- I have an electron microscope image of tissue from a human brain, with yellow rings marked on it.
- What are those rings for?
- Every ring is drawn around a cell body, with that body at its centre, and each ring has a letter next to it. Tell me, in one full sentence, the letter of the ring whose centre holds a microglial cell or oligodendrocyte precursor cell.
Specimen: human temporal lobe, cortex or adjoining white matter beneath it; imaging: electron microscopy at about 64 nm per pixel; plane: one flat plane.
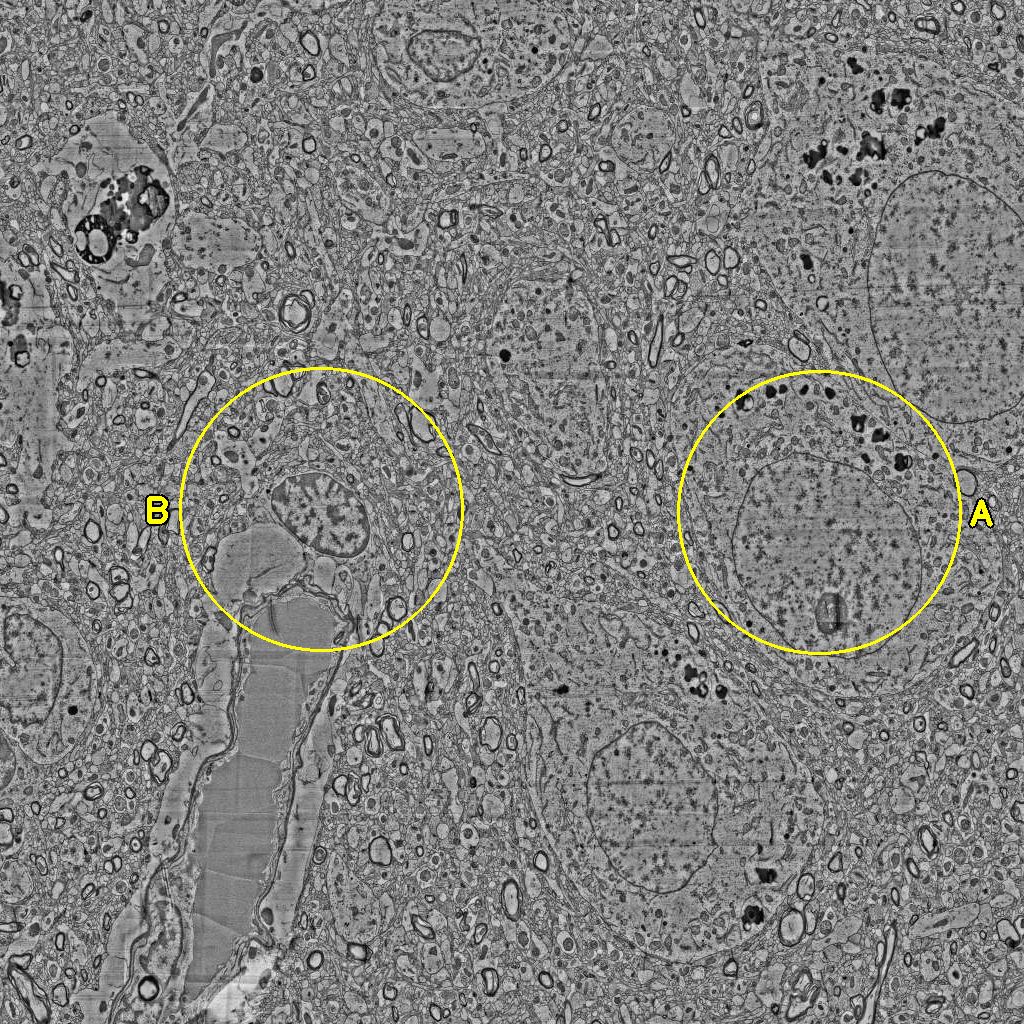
In the picture, the cell asked for sits at the centre of ring B.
